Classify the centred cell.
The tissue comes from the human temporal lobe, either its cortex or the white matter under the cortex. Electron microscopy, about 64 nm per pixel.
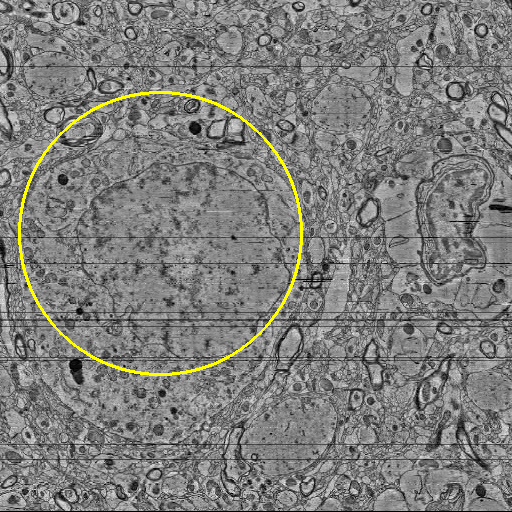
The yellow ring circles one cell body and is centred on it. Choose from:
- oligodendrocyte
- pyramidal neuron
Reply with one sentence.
The ring is centred on a pyramidal neuron.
